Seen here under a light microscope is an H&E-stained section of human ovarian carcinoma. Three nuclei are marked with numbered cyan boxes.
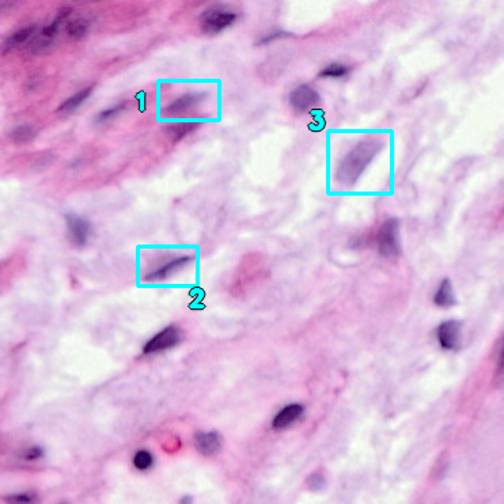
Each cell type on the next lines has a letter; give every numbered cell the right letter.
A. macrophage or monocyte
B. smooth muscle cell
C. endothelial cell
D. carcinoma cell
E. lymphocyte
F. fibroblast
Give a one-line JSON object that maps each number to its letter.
{"1": "B", "2": "F", "3": "F"}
